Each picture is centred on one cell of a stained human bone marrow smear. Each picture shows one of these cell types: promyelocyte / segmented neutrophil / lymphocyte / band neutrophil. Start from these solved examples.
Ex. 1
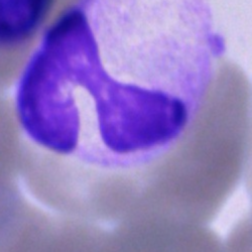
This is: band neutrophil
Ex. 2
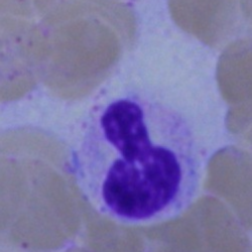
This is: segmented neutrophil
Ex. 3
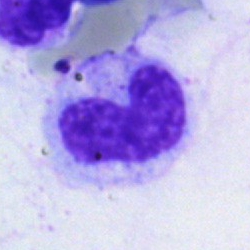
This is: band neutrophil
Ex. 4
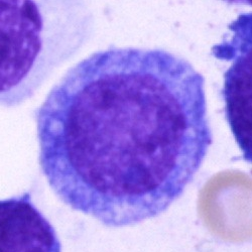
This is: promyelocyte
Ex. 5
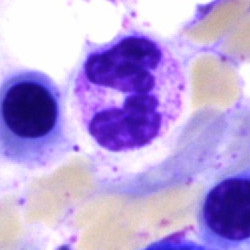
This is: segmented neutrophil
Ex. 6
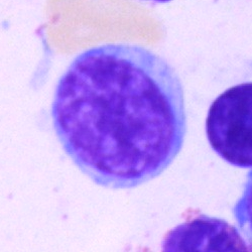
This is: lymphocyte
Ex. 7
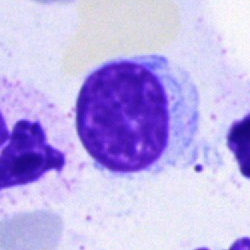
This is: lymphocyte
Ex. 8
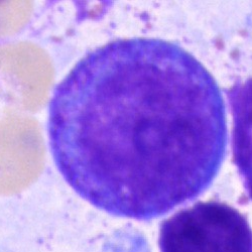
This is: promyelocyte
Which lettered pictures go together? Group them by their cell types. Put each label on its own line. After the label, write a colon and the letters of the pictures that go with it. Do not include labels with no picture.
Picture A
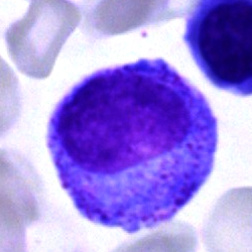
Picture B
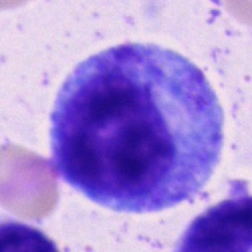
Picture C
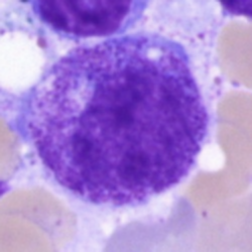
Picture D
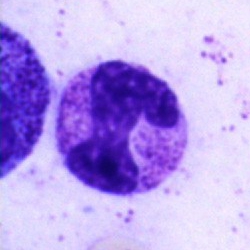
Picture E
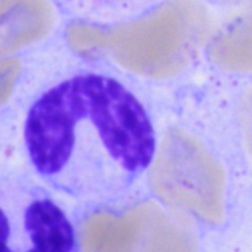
promyelocyte: A, B, C
band neutrophil: D, E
